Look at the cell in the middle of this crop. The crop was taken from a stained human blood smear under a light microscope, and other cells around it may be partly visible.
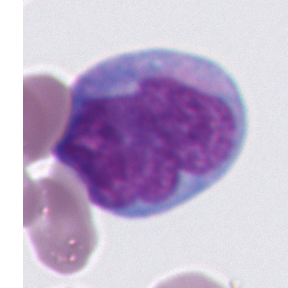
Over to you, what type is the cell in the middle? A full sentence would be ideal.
The cell at the middle of the frame should be recorded as an atypical promyelocyte.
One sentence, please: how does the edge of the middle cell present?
There are no projections here; the outline is simply smooth.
